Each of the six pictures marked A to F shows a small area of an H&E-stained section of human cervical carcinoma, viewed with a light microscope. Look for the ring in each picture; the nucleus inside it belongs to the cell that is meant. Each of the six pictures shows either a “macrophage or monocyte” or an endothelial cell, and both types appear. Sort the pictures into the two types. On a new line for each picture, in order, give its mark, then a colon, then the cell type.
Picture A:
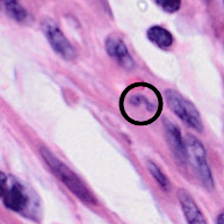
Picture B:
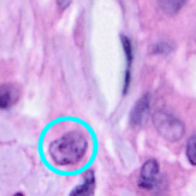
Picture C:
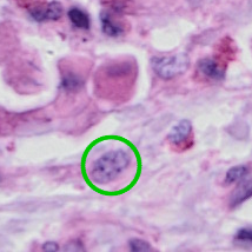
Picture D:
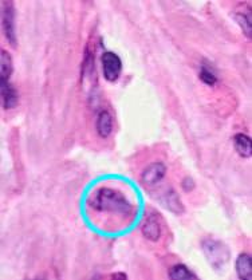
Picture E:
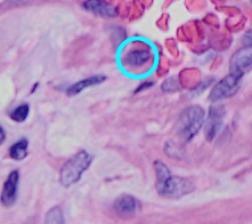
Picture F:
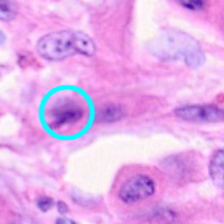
A: endothelial cell
B: macrophage or monocyte
C: macrophage or monocyte
D: macrophage or monocyte
E: endothelial cell
F: macrophage or monocyte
